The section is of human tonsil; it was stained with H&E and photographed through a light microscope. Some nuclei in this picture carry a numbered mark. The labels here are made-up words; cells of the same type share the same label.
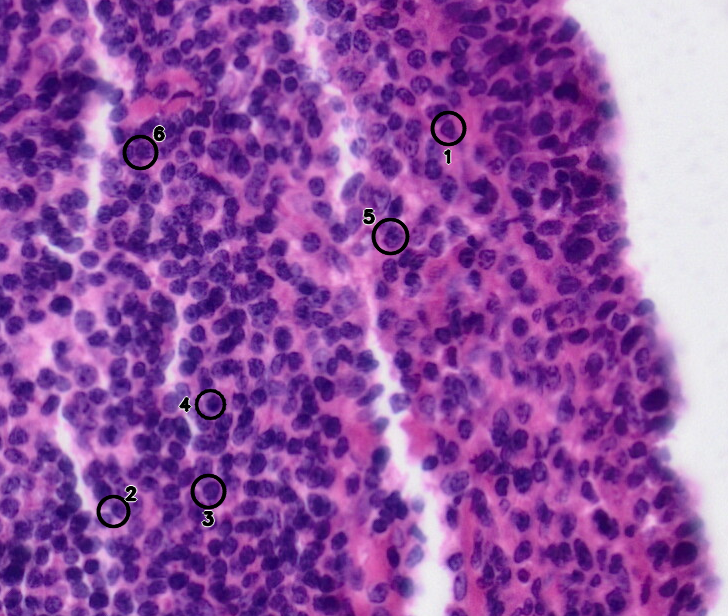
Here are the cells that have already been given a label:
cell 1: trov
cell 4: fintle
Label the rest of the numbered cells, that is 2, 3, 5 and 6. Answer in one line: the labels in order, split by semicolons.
fintle; fintle; trov; fintle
